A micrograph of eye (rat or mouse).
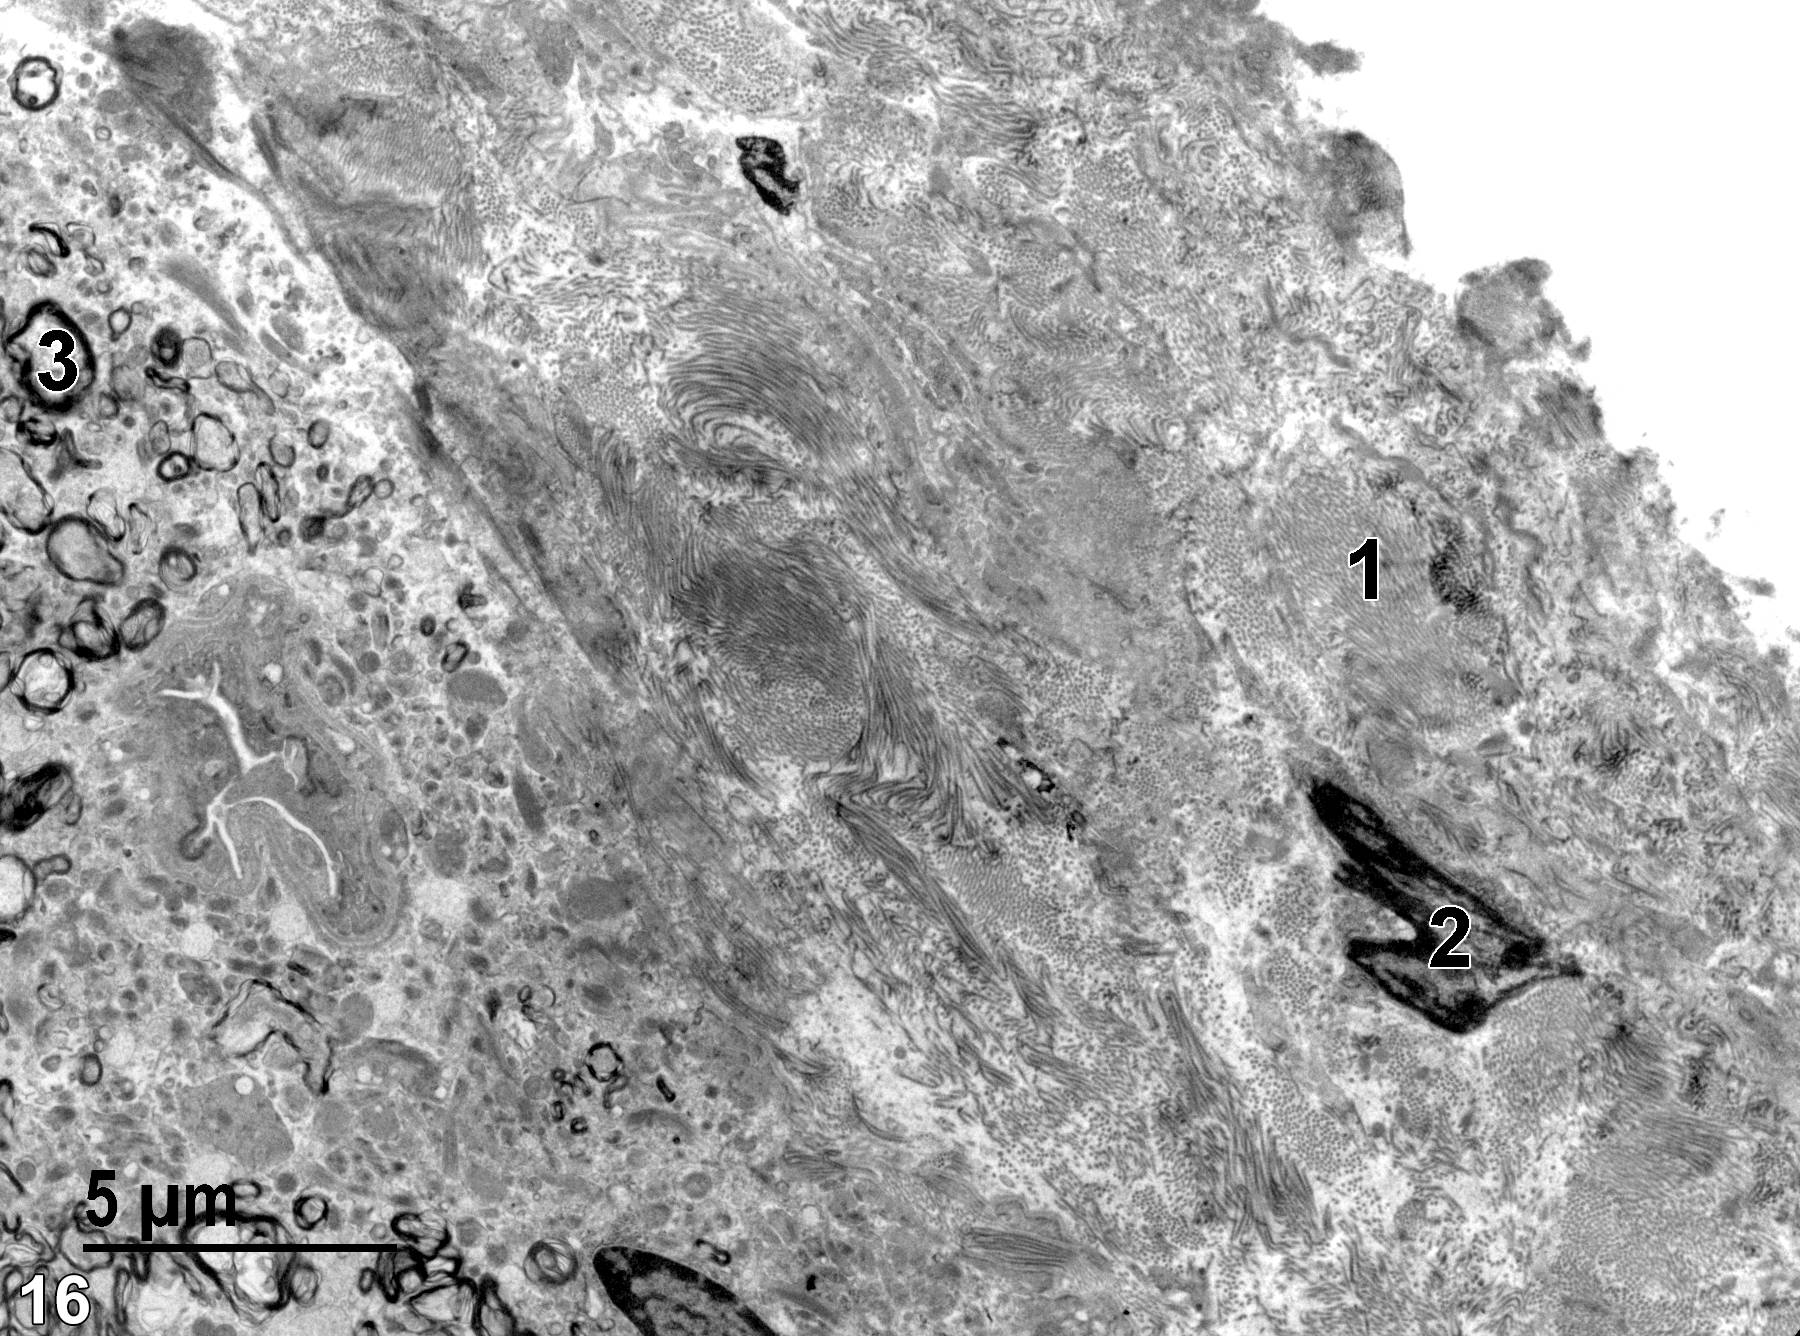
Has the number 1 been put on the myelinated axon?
No: the collagen fibers.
